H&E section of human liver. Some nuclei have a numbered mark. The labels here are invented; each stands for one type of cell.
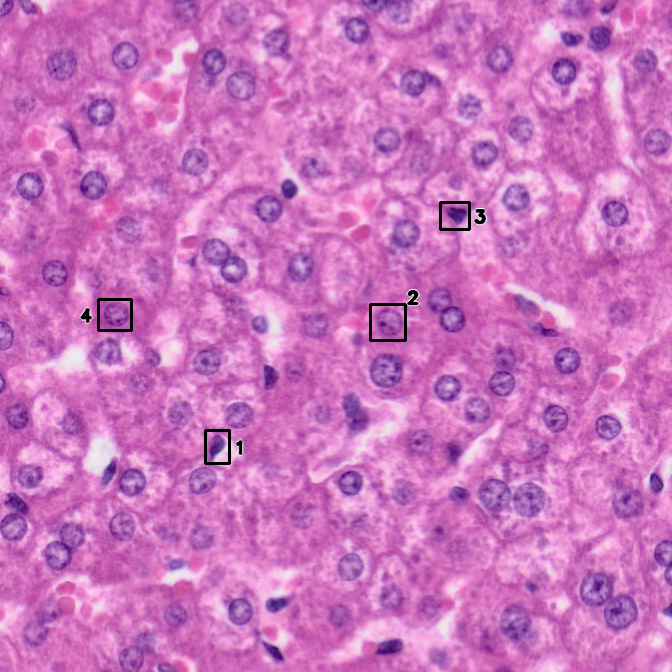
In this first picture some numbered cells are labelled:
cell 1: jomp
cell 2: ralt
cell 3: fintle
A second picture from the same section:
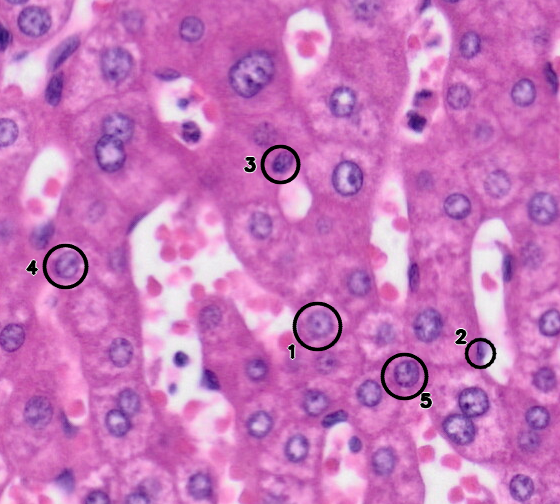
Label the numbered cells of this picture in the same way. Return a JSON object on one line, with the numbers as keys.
{"1": "ralt", "2": "jomp", "3": "fintle", "4": "ralt", "5": "ralt"}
